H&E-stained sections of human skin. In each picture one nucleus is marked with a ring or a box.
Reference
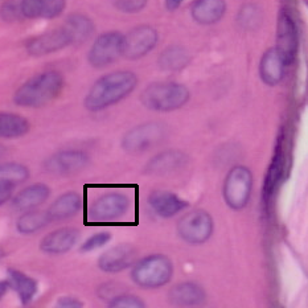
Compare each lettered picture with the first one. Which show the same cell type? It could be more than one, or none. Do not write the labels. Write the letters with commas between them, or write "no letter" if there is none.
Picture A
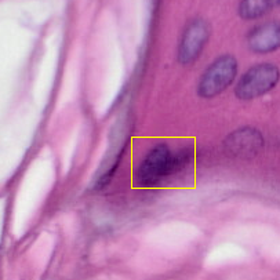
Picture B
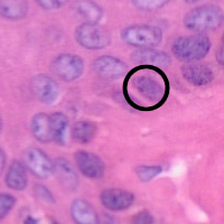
A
